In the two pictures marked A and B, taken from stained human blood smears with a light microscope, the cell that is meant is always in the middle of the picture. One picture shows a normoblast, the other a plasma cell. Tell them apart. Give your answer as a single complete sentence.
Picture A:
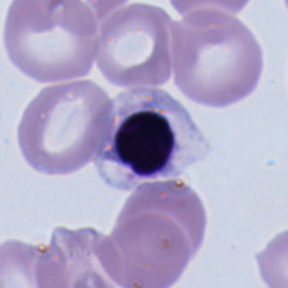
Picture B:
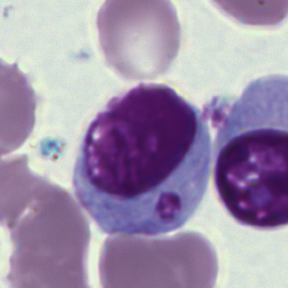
In picture A the cell is a normoblast; in picture B, a plasma cell.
